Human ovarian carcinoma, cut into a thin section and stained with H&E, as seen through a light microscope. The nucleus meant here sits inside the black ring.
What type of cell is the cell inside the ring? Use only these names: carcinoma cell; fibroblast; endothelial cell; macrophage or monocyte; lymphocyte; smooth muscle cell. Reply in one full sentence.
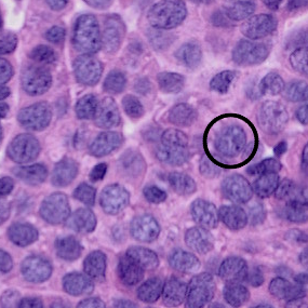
In this preparation, the cell inside the ring is a carcinoma cell.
